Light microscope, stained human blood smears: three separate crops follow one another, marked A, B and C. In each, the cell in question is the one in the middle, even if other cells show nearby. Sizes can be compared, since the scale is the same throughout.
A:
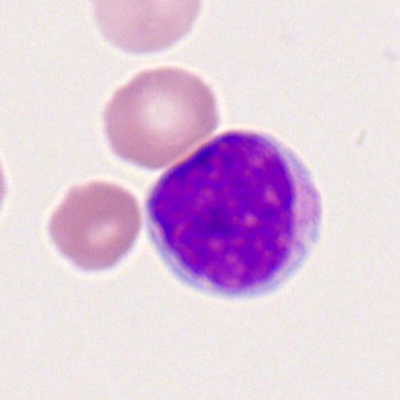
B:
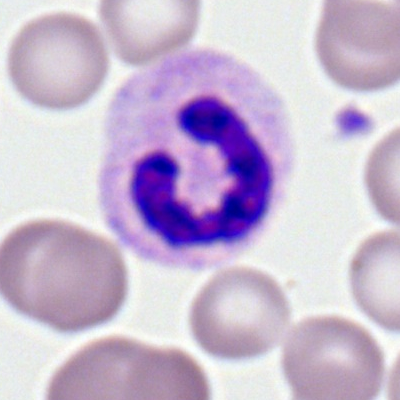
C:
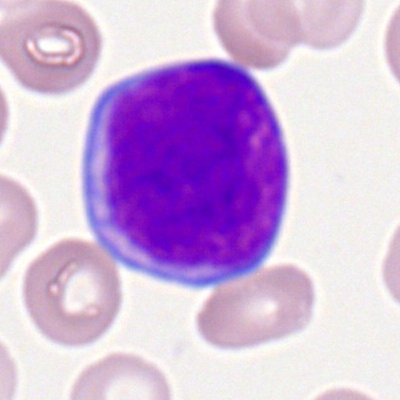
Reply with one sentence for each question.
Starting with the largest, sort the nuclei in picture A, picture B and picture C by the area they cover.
The order is C, A, B, beginning with the largest.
